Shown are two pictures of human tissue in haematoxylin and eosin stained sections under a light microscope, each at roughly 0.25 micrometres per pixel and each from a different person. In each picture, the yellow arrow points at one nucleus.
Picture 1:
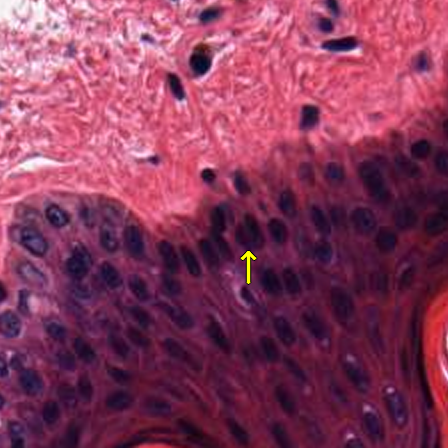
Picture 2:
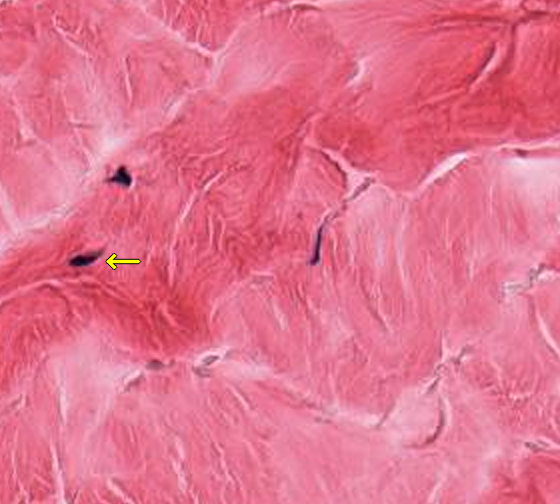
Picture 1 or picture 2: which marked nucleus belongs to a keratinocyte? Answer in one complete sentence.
The marked nucleus belonging to a keratinocyte is the one in picture 1.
